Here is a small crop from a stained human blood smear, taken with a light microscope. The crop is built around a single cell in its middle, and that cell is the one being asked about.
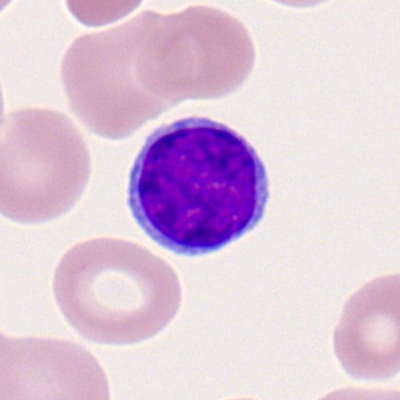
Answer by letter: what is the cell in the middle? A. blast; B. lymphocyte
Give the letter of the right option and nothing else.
B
